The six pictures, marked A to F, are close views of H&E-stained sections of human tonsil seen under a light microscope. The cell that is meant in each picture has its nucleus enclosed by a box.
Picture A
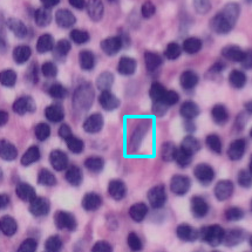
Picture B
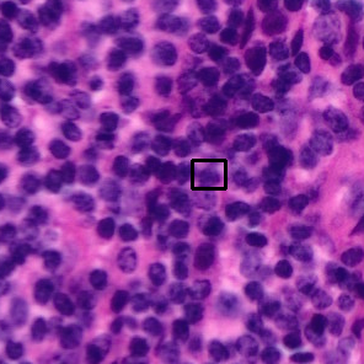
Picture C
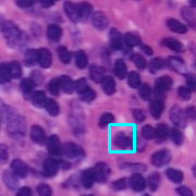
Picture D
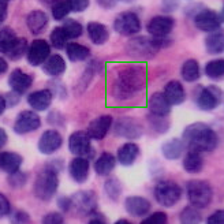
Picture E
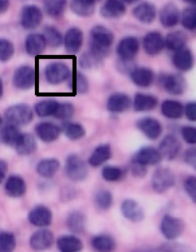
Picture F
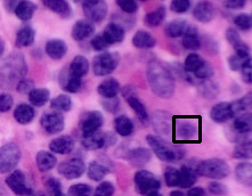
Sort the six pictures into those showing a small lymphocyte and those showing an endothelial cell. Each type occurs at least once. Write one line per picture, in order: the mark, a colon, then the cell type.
A: endothelial cell
B: small lymphocyte
C: endothelial cell
D: endothelial cell
E: small lymphocyte
F: endothelial cell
